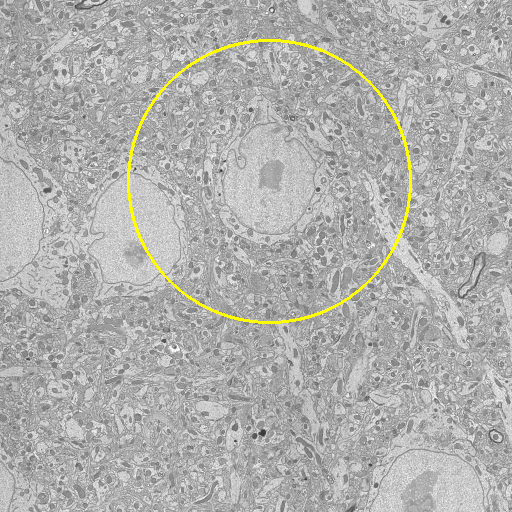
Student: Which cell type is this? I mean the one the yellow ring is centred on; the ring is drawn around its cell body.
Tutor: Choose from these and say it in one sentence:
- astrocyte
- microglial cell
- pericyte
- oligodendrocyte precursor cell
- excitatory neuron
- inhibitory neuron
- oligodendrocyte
The cell the ring is centred on is an inhibitory neuron.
